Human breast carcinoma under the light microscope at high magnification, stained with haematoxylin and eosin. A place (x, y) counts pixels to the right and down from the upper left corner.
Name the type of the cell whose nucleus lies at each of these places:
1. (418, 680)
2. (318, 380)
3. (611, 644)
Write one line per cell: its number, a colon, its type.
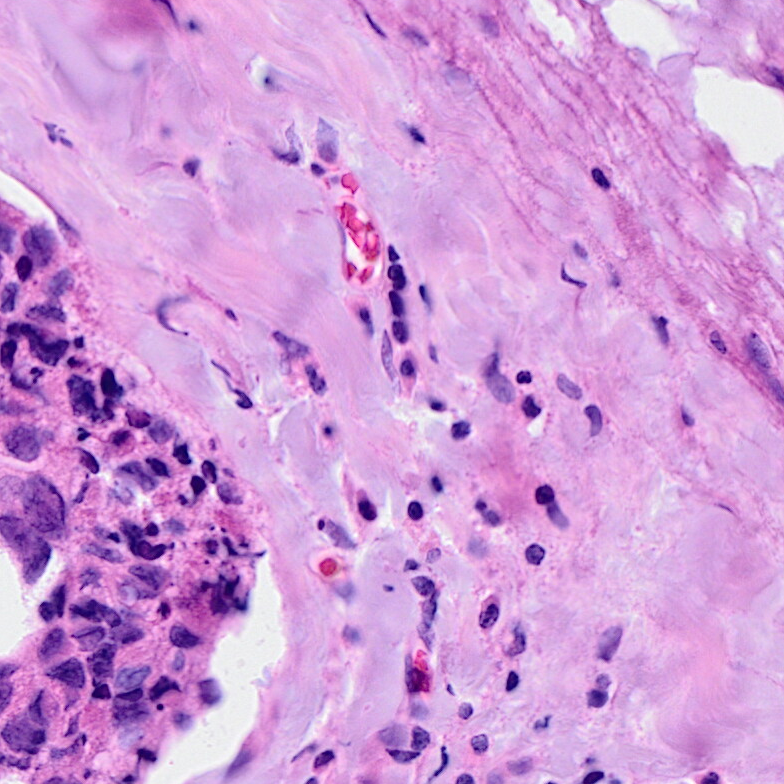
1: endothelial cell
2: mast cell
3: fibroblast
